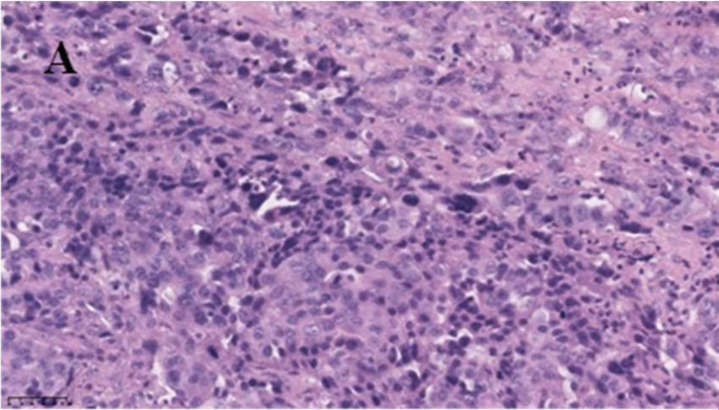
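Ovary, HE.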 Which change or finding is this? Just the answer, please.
Poorly differentiated carcinoma.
